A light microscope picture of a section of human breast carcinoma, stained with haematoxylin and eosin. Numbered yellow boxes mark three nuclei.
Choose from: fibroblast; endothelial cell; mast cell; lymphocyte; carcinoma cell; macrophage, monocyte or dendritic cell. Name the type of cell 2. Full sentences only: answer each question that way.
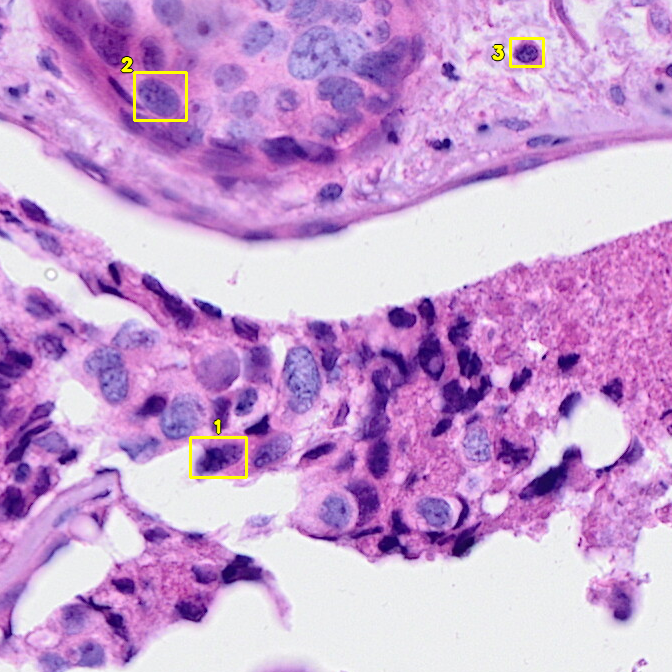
Cell 2 in the field is a carcinoma cell.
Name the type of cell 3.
Cell 3 of the marked set is a mast cell.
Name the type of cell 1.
The nucleus with number 1 is that of a carcinoma cell.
